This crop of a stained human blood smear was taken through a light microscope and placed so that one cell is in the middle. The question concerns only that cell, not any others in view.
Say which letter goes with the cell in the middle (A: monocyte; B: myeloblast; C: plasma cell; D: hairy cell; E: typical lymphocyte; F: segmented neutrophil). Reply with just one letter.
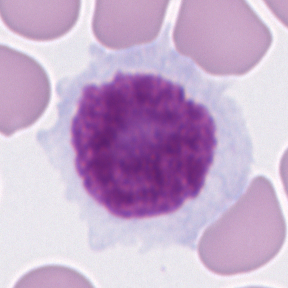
D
